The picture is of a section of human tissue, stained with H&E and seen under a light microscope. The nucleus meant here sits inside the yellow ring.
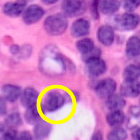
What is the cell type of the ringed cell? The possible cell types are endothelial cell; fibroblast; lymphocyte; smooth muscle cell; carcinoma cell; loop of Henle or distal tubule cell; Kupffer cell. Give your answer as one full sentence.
The cell type of the ringed cell is that of a lymphocyte.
